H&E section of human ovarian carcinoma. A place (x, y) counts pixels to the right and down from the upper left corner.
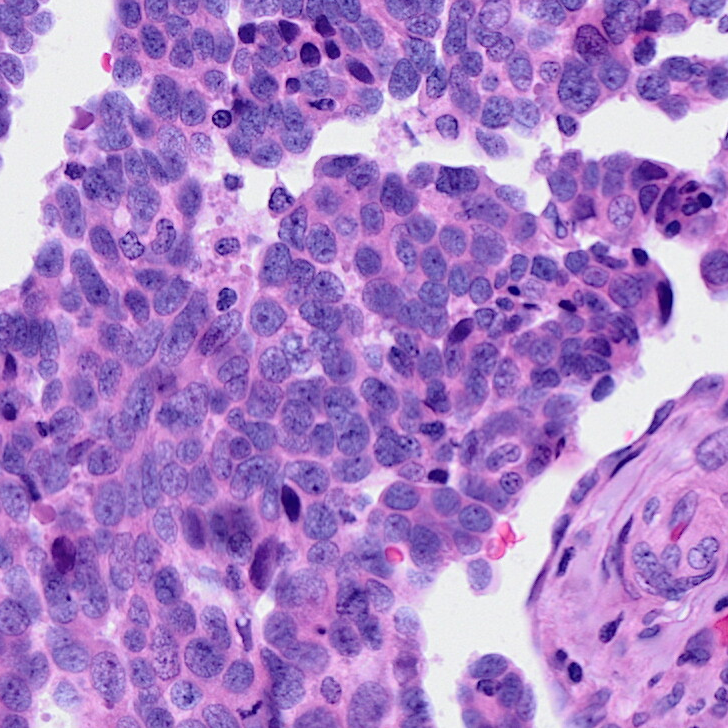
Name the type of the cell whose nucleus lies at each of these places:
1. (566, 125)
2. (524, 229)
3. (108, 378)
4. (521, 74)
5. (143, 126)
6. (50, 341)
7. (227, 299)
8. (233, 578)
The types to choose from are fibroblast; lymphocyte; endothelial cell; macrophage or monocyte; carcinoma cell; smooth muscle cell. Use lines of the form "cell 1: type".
cell 1: macrophage or monocyte
cell 2: carcinoma cell
cell 3: carcinoma cell
cell 4: carcinoma cell
cell 5: carcinoma cell
cell 6: carcinoma cell
cell 7: lymphocyte
cell 8: macrophage or monocyte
